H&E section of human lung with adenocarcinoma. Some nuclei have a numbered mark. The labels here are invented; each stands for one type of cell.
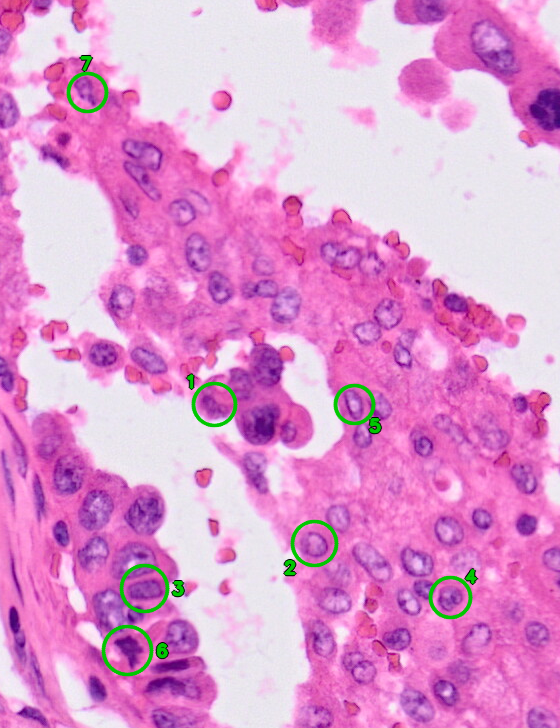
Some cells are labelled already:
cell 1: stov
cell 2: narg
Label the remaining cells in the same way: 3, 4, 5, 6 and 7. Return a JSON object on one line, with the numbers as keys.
{"3": "stov", "4": "narg", "5": "narg", "6": "stov", "7": "narg"}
